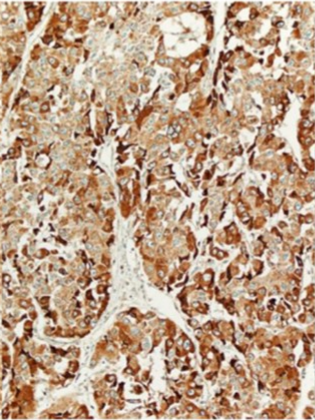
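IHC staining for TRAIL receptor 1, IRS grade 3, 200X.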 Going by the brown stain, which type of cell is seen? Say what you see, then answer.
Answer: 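Neoplastic hepatocytes. Large polygonal cells with abundant cytoplasm are arranged in trabeculae and nests. Thin stromal strands separate the cell groups. The brown stain fills the cytoplasm of these polygonal cells.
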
